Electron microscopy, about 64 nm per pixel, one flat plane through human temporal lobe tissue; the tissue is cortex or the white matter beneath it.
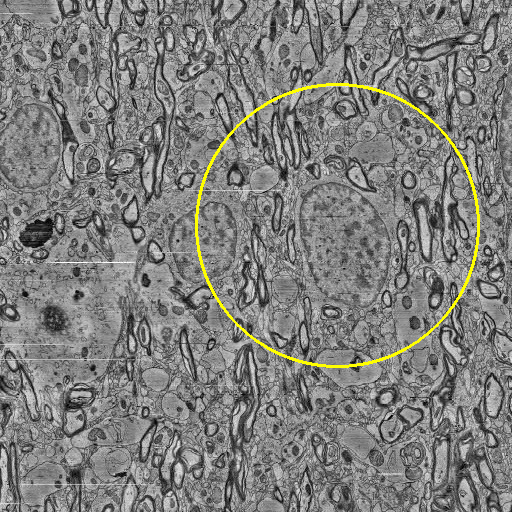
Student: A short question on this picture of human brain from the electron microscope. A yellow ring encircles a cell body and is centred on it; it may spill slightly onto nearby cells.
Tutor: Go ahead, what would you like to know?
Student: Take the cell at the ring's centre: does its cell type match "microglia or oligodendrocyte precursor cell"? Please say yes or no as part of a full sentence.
No, the cell found at the ring's centre in the picture has another cell type.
